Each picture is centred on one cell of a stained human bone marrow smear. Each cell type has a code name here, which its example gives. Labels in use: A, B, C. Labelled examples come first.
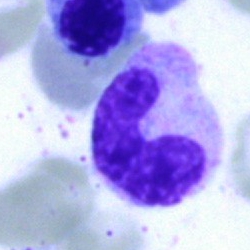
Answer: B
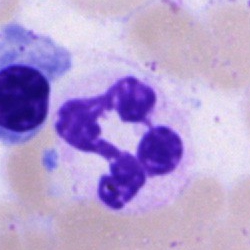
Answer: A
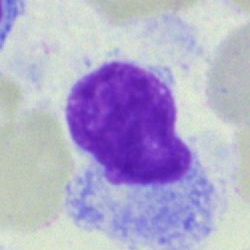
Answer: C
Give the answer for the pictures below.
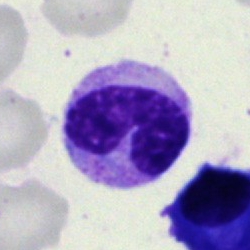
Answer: B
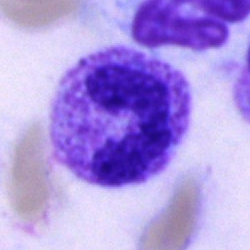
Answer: A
